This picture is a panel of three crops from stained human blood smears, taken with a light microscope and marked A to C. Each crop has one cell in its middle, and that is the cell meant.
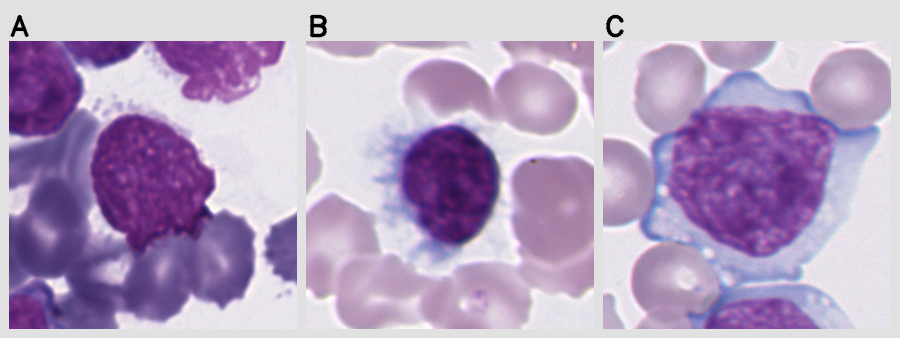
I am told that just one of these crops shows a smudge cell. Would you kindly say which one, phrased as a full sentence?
Crop A is the crop that shows a smudge cell in its middle.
